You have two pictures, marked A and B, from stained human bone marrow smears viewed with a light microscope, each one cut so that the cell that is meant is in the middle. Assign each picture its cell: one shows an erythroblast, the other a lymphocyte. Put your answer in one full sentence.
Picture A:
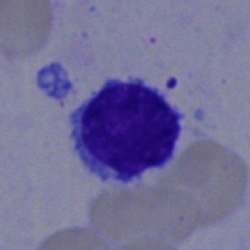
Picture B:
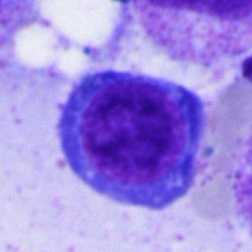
Picture A is of a lymphocyte, and picture B is of an erythroblast.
